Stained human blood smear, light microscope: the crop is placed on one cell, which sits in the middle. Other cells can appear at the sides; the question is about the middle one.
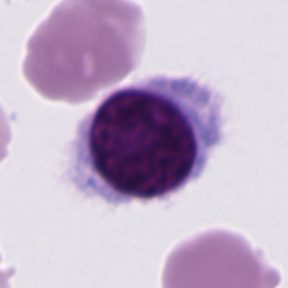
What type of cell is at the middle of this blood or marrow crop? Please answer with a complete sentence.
The central cell in this smear crop is a hairy cell.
